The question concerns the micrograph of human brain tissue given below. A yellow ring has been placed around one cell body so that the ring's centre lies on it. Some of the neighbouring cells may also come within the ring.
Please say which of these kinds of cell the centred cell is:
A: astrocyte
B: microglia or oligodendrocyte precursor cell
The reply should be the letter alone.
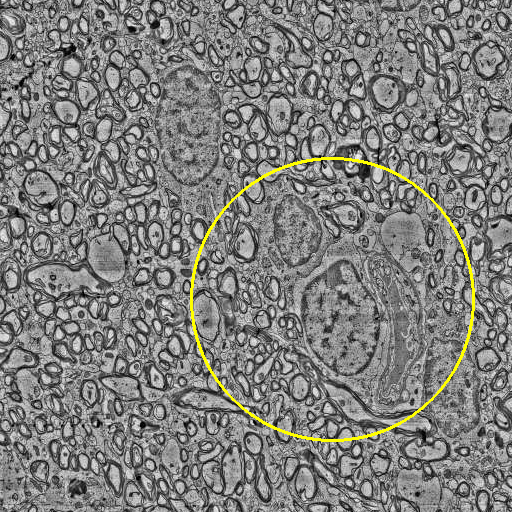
B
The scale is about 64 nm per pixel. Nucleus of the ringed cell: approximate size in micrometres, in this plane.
The nucleus measures about 7 by 5 micrometres in this plane.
